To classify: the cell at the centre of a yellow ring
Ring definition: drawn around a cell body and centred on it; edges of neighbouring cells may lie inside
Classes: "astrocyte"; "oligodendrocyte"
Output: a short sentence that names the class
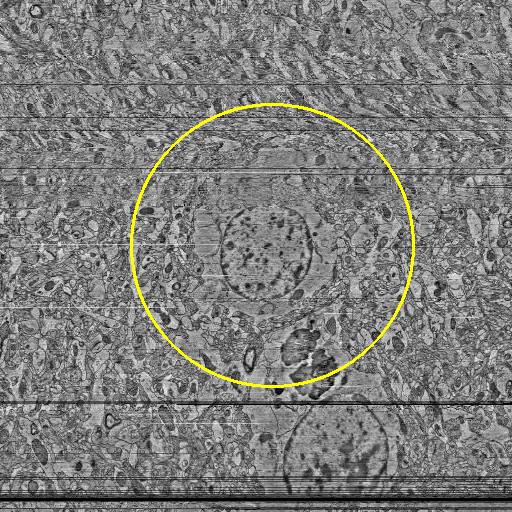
The ringed cell is an astrocyte.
